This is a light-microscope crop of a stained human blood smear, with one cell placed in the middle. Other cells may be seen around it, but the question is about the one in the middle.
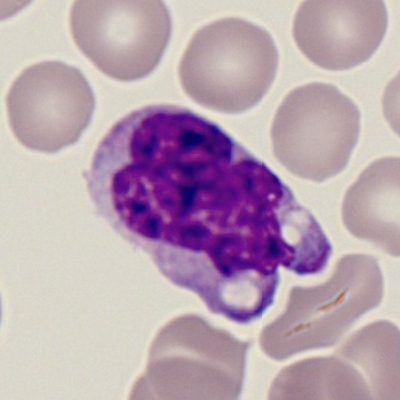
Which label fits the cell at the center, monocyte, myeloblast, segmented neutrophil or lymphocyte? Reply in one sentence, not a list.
The cell under consideration, at the middle of the crop, is a monocyte.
